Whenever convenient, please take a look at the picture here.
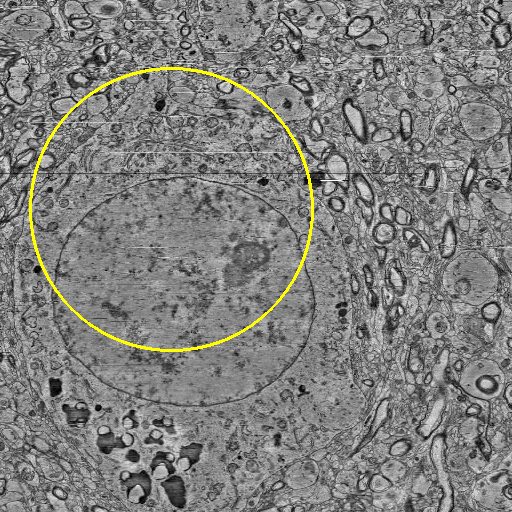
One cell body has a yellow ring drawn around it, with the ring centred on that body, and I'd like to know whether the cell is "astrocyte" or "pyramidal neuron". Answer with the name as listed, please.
pyramidal neuron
